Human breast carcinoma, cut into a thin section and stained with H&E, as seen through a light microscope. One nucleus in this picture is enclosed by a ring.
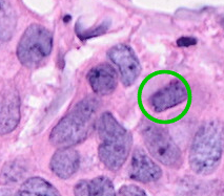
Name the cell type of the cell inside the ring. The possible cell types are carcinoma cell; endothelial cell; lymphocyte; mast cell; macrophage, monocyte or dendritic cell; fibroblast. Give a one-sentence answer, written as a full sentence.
Typologically, the cell inside the ring is a carcinoma cell in this section.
